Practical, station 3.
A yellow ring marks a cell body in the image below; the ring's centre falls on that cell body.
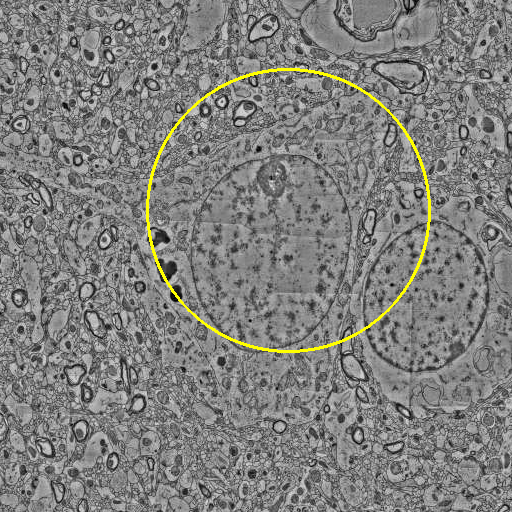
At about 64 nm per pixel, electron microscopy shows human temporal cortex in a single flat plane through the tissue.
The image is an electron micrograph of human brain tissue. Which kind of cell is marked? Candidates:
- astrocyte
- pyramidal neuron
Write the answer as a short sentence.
The marked cell body is that of a pyramidal neuron.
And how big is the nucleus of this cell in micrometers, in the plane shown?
In this plane, roughly 13 by 10 micrometres.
